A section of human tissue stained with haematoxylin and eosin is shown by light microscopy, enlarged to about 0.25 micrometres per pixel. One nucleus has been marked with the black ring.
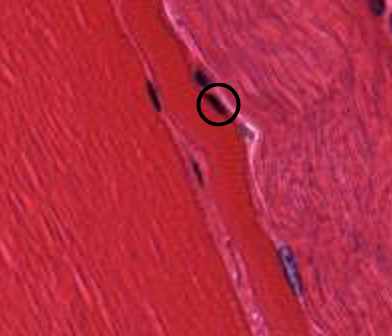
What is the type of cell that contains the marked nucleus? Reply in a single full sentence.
Here it is a skeletal muscle fibre that the marked nucleus belongs to.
